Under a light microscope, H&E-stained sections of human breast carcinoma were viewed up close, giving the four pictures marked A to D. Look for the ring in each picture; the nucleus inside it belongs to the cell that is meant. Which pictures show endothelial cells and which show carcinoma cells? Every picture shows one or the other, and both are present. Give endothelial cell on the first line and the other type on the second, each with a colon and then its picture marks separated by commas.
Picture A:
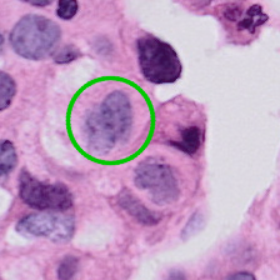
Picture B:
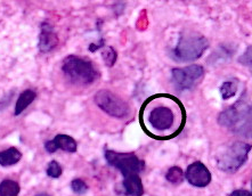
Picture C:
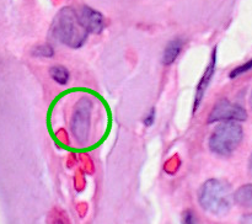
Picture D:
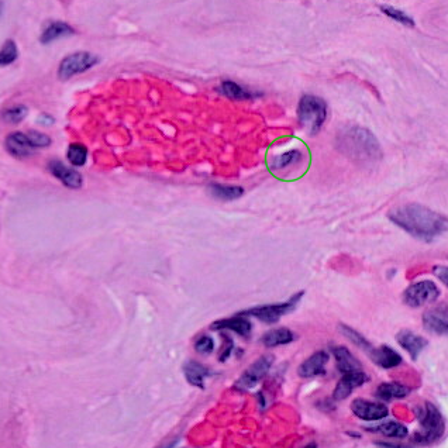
endothelial cell: C, D
carcinoma cell: A, B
